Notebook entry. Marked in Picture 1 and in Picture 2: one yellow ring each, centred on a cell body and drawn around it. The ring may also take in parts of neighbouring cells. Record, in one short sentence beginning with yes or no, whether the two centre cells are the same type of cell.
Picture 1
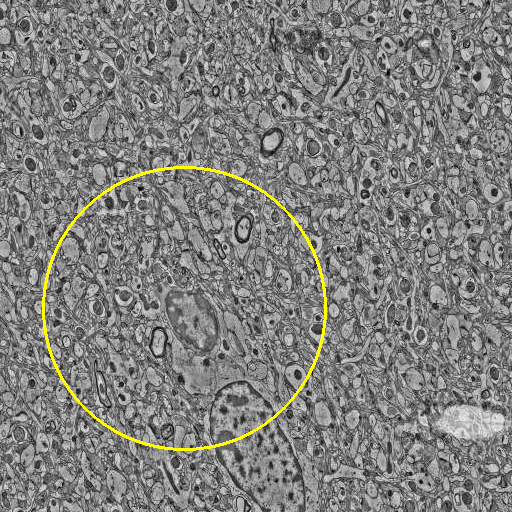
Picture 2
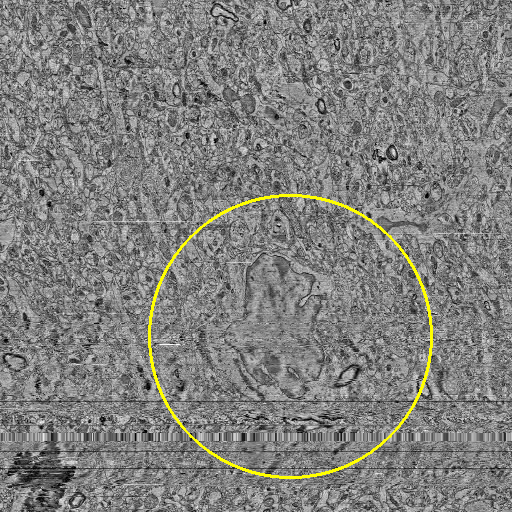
No, they are two types of cell.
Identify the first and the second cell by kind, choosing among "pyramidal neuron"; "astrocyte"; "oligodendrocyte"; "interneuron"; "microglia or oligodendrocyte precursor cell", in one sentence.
The one in the first picture is an oligodendrocyte, while the one in the second is a microglial cell or oligodendrocyte precursor cell.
